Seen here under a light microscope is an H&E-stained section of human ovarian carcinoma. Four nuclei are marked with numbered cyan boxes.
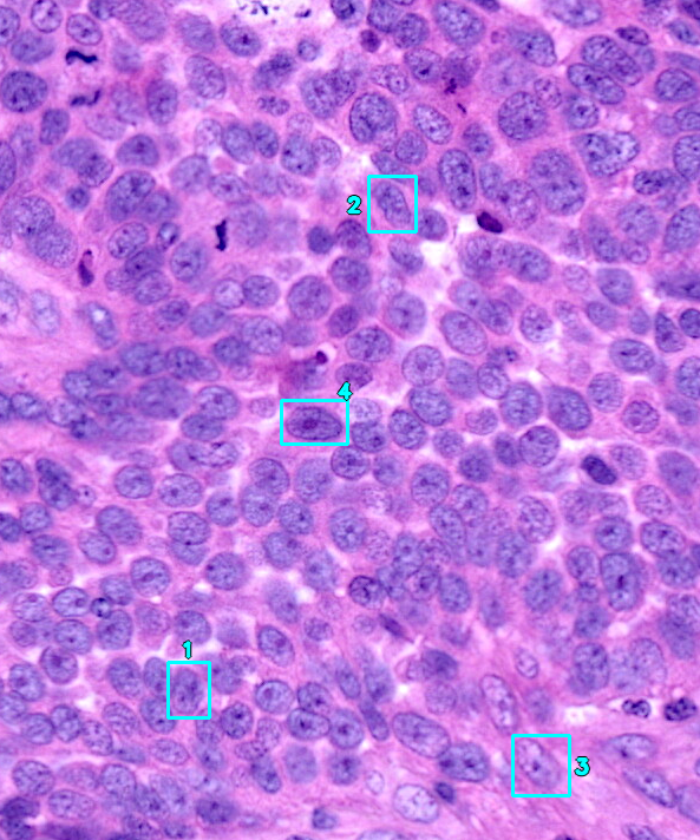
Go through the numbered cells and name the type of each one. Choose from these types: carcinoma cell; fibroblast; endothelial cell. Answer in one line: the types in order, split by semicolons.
carcinoma cell; carcinoma cell; fibroblast; carcinoma cell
